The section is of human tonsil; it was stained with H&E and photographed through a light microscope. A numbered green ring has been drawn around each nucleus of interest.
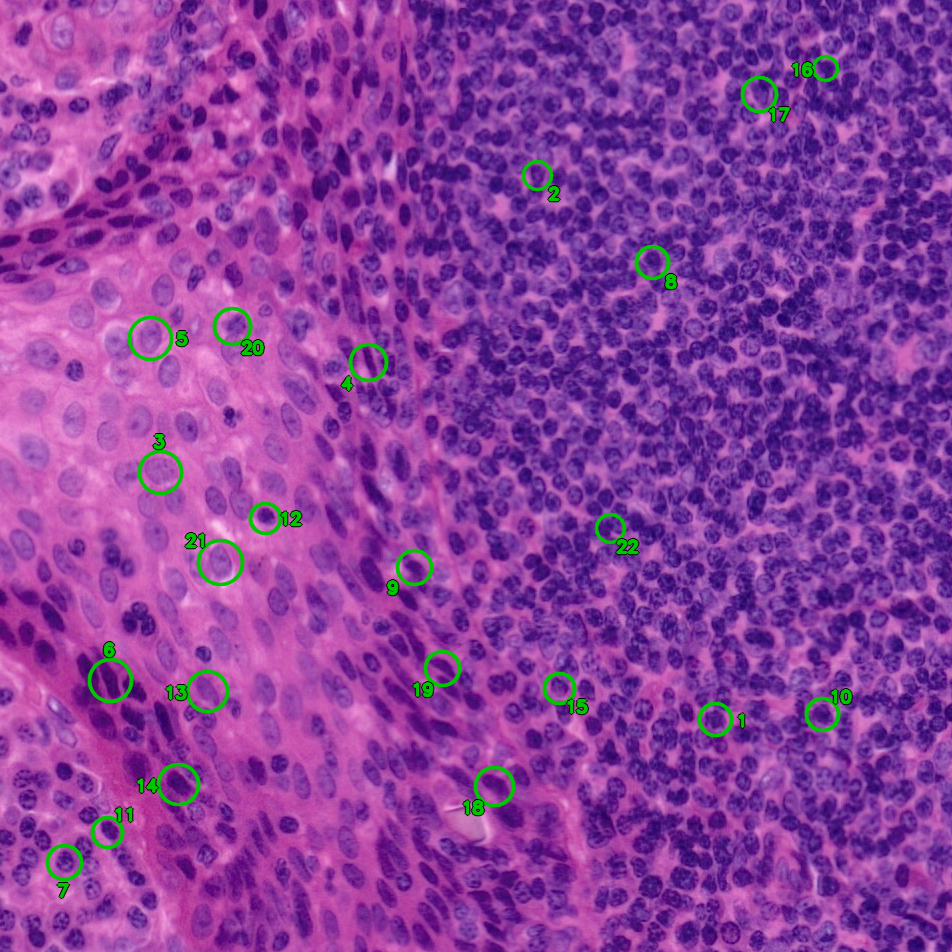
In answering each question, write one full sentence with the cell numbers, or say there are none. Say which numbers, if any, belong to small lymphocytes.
Each of the cells numbered 1, 2, 8, 10, 16, 17 and 22 is among the small lymphocytes.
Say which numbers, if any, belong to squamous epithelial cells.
Cells 3, 4, 5, 6, 9, 12, 13, 14, 18, 19, 20 and 21 are squamous epithelial cells by cell type.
